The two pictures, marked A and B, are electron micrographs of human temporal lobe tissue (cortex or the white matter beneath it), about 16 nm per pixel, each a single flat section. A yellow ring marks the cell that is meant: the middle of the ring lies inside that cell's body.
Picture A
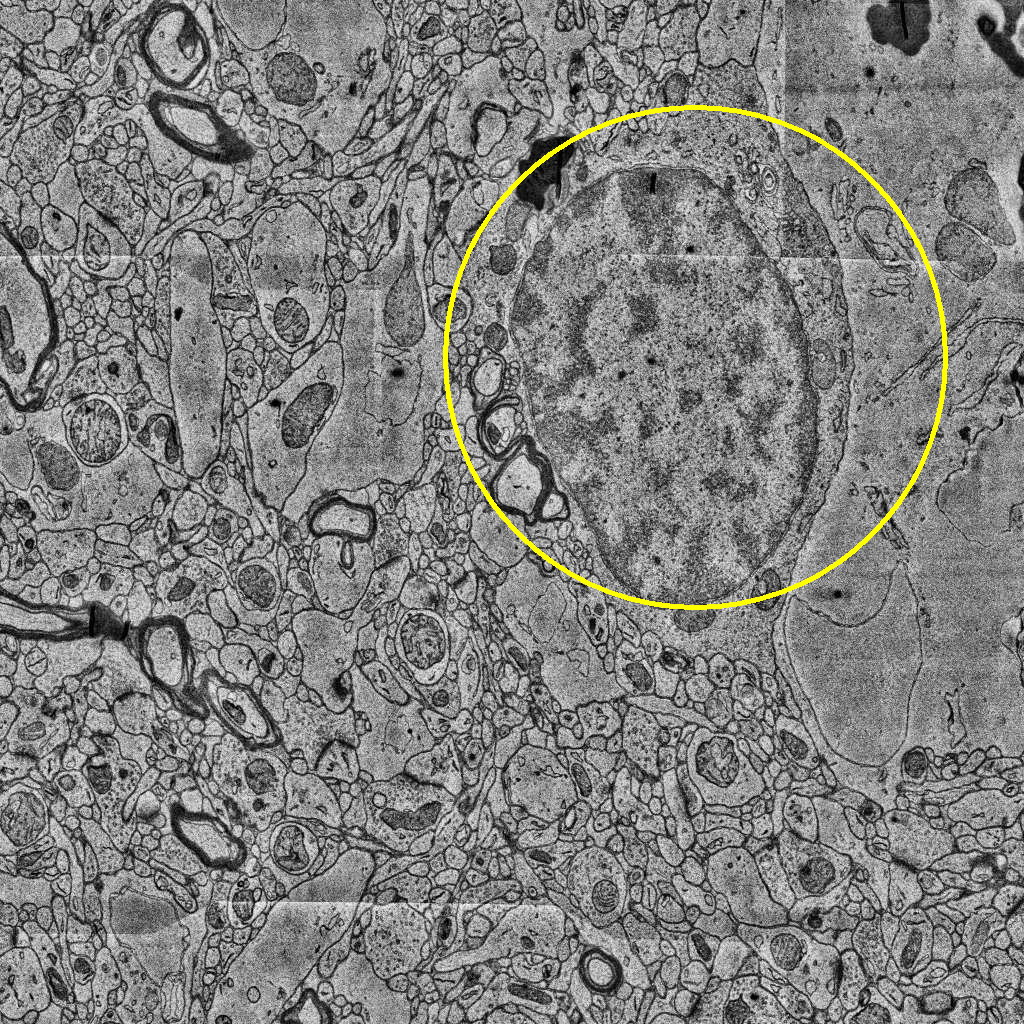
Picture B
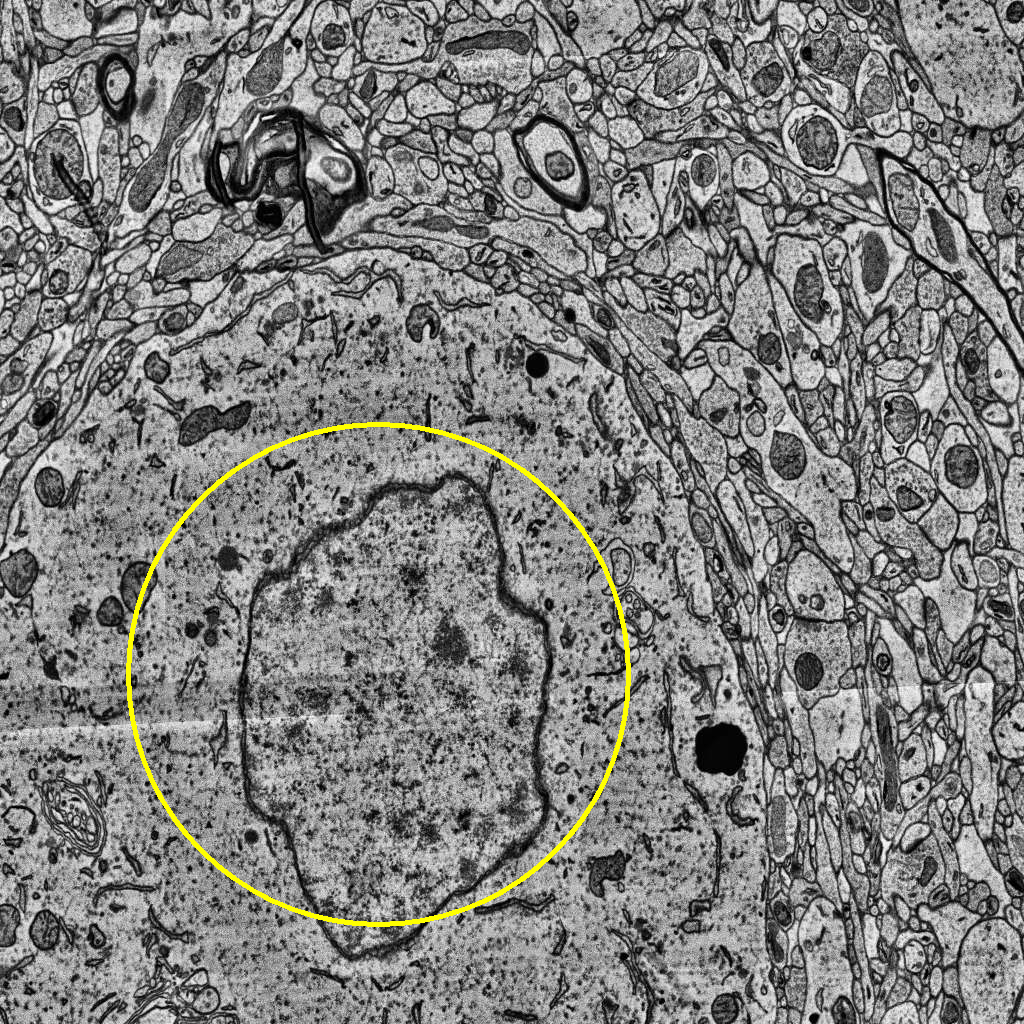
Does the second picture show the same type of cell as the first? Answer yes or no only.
no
